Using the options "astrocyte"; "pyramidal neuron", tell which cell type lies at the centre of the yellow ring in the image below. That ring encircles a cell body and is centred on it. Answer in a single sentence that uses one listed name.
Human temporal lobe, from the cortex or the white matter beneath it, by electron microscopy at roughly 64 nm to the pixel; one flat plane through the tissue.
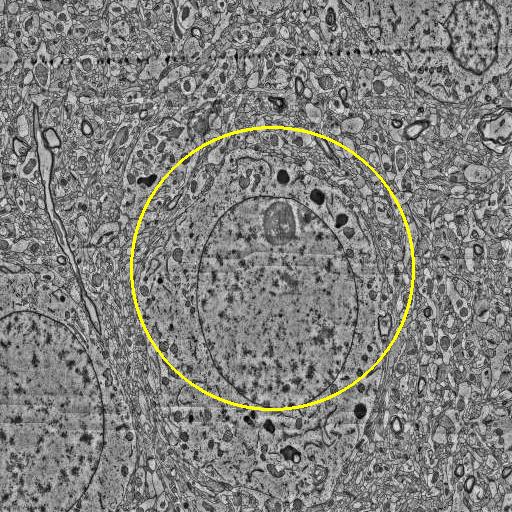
At the centre of the yellow ring lies the body of a pyramidal neuron.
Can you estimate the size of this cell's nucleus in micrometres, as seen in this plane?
About 14 micrometres by about 10 micrometres in this plane.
